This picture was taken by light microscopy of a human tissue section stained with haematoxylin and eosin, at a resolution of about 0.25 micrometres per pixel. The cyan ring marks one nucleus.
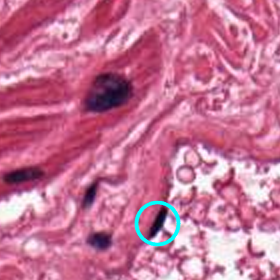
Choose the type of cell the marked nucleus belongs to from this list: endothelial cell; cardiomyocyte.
endothelial cell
